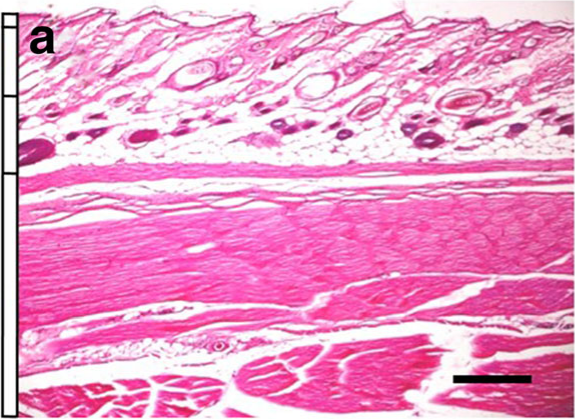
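A thin epidermis forms the surface, over a dermis of pink connective tissue that contains hair follicles cut in round and oval profiles. Beneath it lies a subcutaneous layer of pale, empty-looking fat cells interspersed with darker purple follicle profiles. The layers lie flat and parallel, without distortion.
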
